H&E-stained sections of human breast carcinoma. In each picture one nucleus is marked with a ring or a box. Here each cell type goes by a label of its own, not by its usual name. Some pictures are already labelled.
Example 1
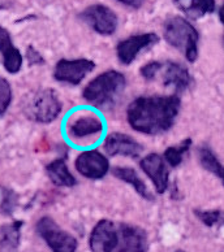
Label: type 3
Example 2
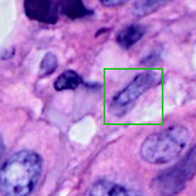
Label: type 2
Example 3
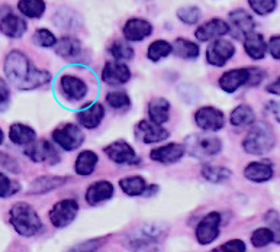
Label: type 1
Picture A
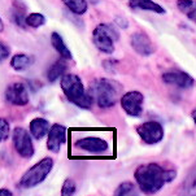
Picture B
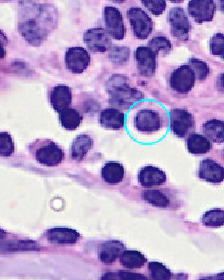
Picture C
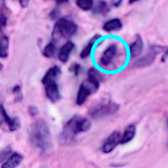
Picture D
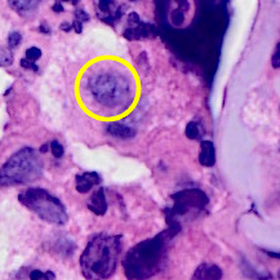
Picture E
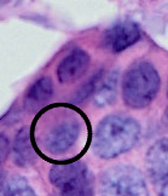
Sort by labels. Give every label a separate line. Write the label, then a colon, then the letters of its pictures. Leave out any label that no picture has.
type 3: D, E
type 1: A, B, C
